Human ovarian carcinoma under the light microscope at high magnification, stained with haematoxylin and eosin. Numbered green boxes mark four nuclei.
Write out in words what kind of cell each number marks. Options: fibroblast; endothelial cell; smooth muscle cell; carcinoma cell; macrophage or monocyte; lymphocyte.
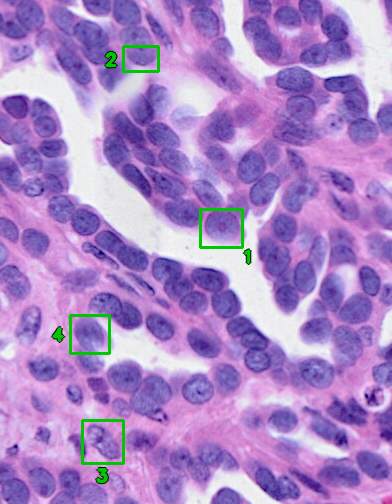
Cells 1, 2 and 4 are carcinoma cells. Cell 3 is a fibroblast.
